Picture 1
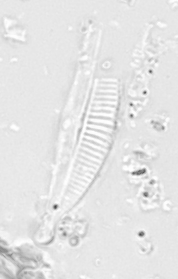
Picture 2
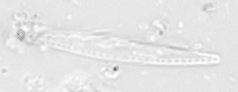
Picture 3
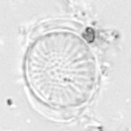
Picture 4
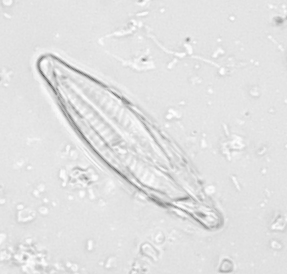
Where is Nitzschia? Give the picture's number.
2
